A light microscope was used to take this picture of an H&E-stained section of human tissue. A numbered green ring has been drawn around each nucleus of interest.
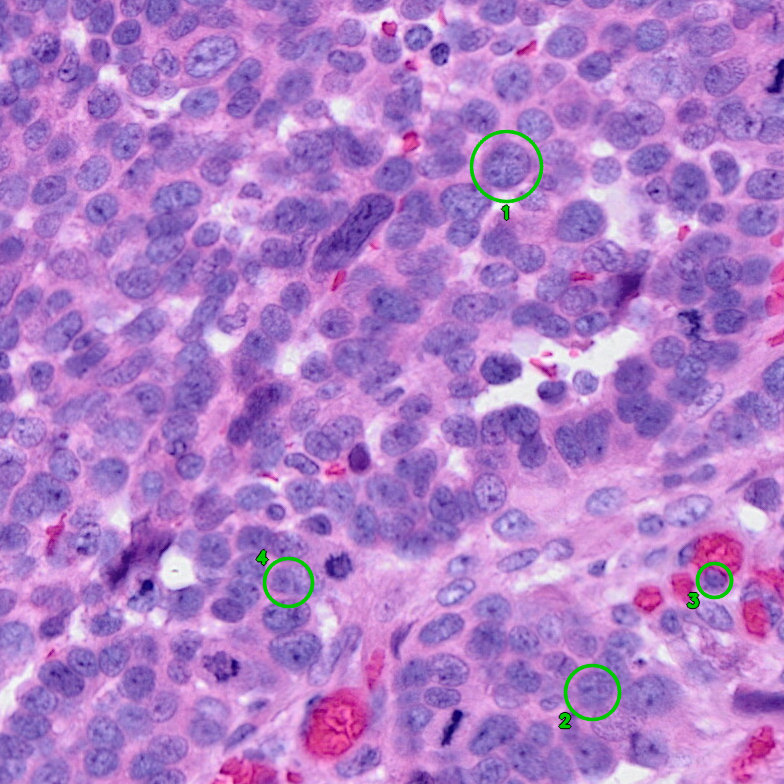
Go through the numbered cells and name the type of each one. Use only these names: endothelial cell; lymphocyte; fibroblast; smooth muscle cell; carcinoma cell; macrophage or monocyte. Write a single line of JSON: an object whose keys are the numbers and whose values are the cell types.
{"1": "carcinoma cell", "2": "carcinoma cell", "3": "endothelial cell", "4": "carcinoma cell"}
